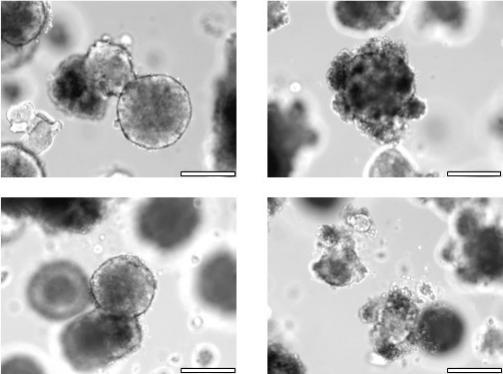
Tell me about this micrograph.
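In the left pair of images the spheroids are dense, grey and fairly round, with a granular texture and a defined edge, several lying against one another. In the right pair the aggregates are irregular and patchy, with ragged, fringed borders and small loose bodies budding from their surface. Out-of-focus spheroids form dark and grey blurs in the background.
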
